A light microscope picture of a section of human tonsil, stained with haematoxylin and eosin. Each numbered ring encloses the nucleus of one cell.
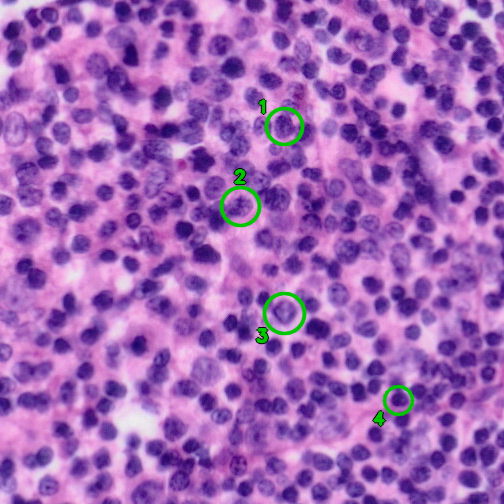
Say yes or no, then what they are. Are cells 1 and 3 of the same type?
Yes, both are proliferating B cells.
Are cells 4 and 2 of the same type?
No, cell 4 is a small lymphocyte and cell 2 is a proliferating B cell.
